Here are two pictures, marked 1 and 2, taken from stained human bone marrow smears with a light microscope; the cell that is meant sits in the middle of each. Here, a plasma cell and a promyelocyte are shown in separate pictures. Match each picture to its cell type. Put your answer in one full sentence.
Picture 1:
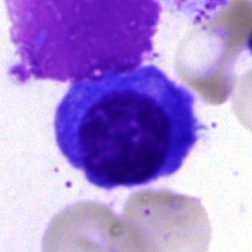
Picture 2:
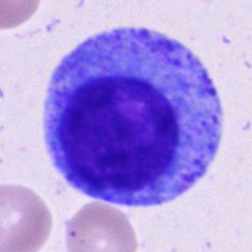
Picture 2 shows a promyelocyte, while picture 1 shows a plasma cell.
